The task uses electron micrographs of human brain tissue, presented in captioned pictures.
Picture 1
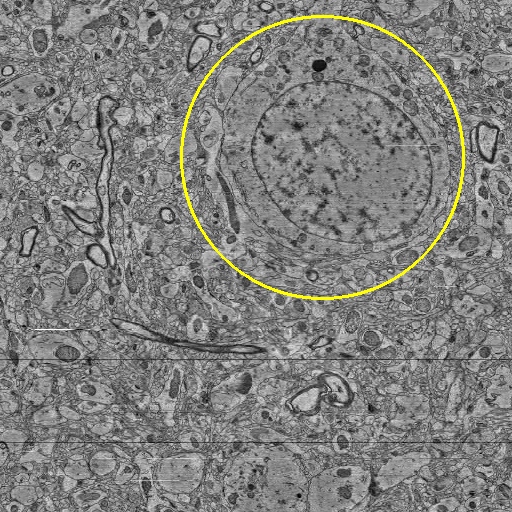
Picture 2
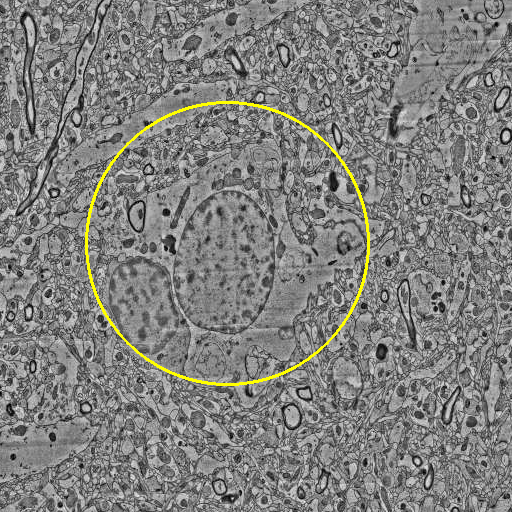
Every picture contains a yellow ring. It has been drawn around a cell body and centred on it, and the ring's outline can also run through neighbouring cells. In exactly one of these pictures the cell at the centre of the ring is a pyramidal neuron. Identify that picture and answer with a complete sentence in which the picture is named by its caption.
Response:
The ring in Picture 1 is centred on that kind of cell.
